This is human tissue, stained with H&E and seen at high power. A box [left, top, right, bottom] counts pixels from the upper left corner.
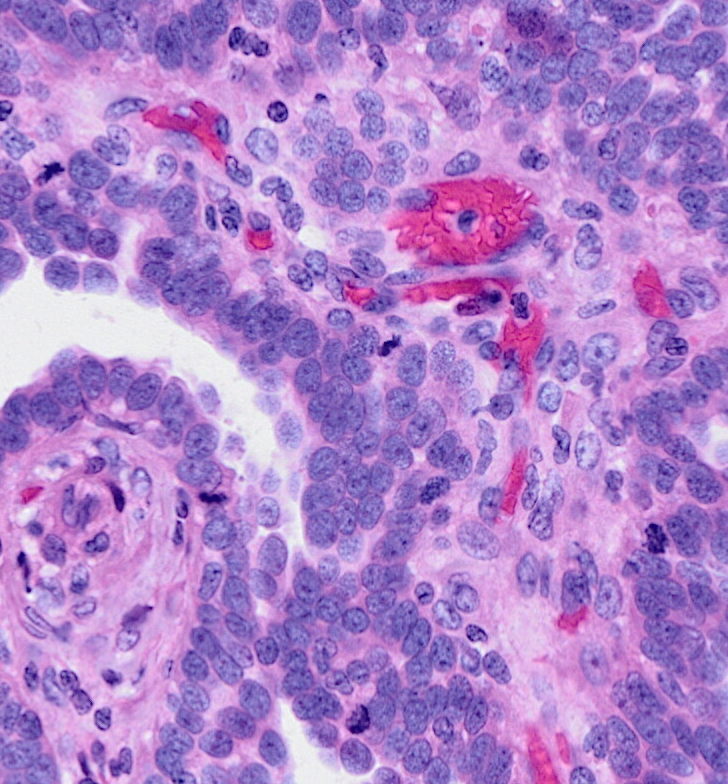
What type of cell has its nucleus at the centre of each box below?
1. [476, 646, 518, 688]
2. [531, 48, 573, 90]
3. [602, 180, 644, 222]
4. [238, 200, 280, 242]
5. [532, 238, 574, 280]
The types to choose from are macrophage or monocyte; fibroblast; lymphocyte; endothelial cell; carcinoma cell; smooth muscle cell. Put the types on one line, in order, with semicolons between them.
macrophage or monocyte; carcinoma cell; carcinoma cell; endothelial cell; fibroblast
